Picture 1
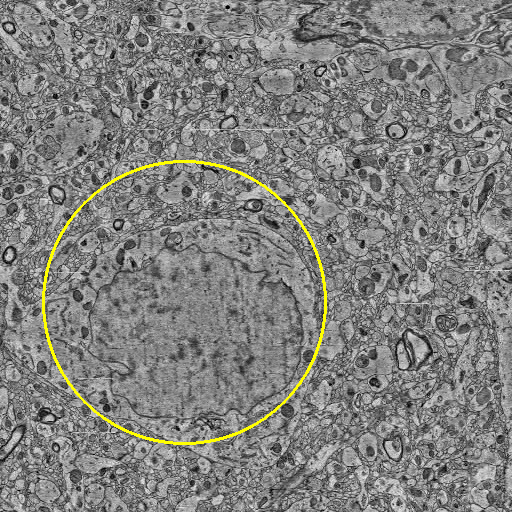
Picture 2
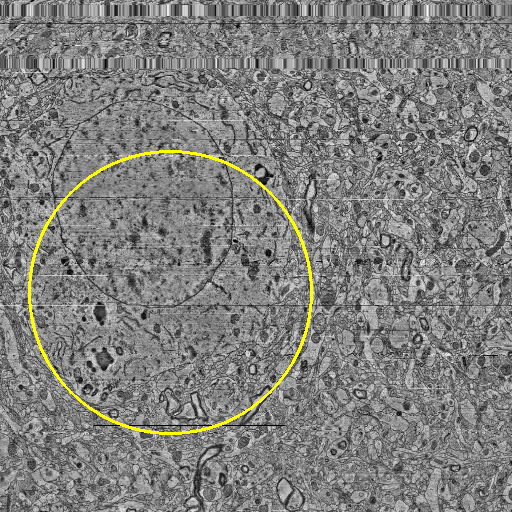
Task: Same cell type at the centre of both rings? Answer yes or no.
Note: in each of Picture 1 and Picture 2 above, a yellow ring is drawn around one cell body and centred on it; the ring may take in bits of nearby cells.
no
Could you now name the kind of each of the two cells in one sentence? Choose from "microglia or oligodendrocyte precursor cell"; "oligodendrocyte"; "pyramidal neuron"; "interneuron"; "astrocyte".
The first ring encloses an interneuron; the second ring encloses a pyramidal neuron.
